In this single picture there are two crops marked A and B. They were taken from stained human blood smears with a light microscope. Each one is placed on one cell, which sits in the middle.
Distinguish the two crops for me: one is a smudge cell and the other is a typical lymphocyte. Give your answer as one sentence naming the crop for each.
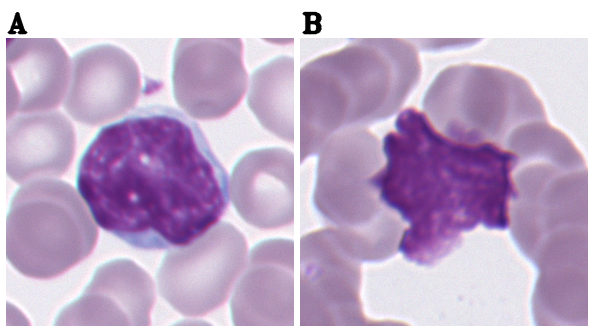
Crop A should be reported as a typical lymphocyte, and crop B as a smudge cell.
